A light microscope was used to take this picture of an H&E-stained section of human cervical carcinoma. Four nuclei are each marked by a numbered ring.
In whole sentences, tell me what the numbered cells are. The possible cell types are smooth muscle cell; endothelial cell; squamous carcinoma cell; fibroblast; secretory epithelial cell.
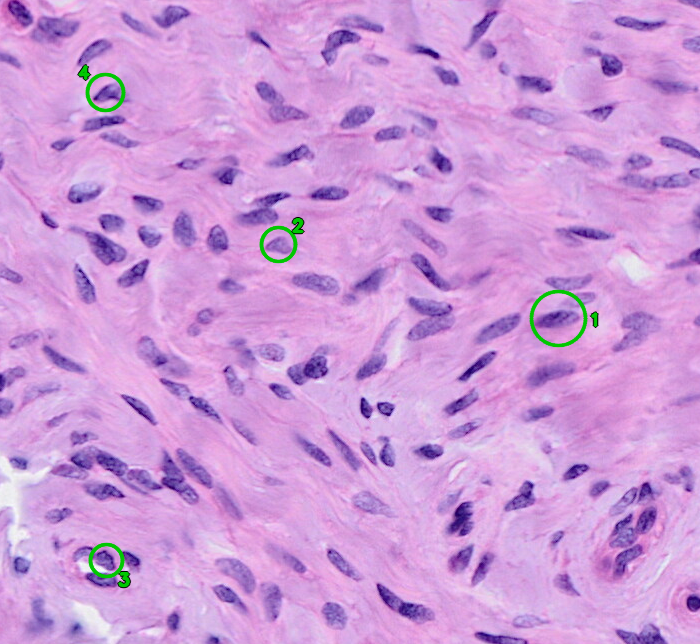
Cell 1 is a fibroblast, cell 2 is a fibroblast, cell 3 is an endothelial cell and cell 4 is a fibroblast.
